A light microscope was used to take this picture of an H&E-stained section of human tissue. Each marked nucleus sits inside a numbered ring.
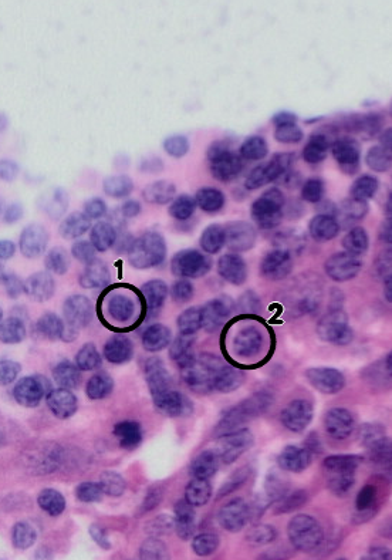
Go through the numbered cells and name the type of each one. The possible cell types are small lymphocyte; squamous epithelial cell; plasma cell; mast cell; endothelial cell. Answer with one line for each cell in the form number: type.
1: small lymphocyte
2: plasma cell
